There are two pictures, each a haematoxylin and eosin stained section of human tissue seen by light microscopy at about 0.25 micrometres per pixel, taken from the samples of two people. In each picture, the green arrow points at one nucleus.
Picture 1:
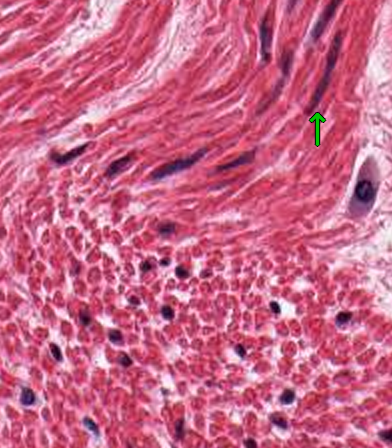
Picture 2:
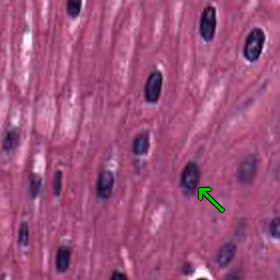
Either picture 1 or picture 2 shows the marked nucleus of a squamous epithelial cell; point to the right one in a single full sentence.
Placed on the nucleus of a squamous epithelial cell is the mark in picture 2.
